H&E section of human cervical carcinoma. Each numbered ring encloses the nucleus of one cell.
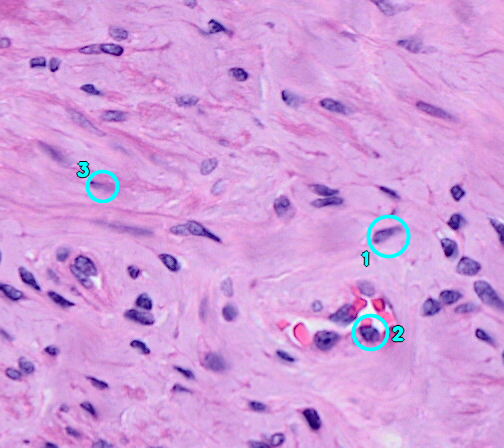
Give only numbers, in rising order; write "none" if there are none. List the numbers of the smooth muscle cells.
3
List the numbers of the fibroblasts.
1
